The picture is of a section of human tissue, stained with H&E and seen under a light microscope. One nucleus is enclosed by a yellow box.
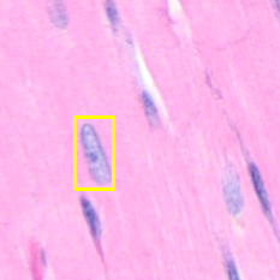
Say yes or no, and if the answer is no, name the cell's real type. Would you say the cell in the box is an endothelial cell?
No, it is a cardiomyocyte.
